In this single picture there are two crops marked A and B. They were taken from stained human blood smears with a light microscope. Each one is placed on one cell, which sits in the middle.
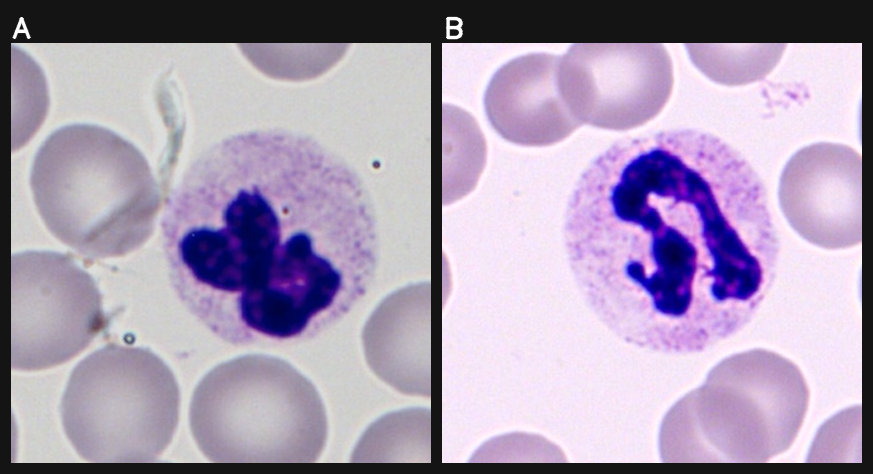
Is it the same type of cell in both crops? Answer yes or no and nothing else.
yes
